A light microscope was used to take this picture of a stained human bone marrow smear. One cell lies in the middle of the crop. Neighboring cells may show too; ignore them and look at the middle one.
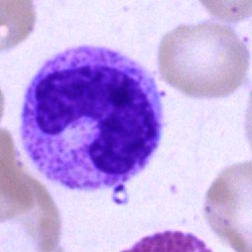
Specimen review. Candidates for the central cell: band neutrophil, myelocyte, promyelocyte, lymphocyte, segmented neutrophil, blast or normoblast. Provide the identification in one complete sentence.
For this crop, the central cell is a band neutrophil.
